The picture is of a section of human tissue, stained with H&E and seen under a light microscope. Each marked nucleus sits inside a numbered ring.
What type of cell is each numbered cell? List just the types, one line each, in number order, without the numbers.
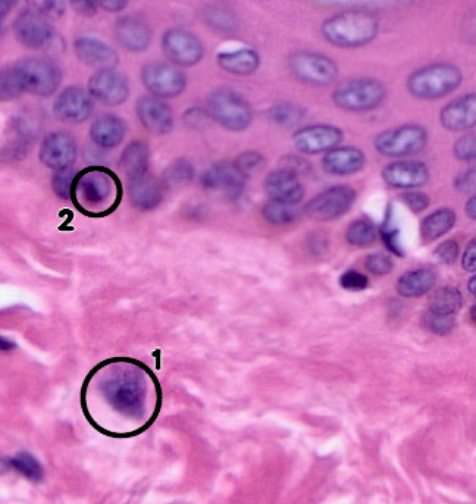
fibroblast
basal keratinocyte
